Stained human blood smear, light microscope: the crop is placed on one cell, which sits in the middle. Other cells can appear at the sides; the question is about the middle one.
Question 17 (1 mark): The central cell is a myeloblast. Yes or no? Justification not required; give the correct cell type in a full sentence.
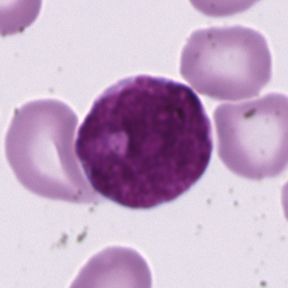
Yes, centred in the crop is a myeloblast.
